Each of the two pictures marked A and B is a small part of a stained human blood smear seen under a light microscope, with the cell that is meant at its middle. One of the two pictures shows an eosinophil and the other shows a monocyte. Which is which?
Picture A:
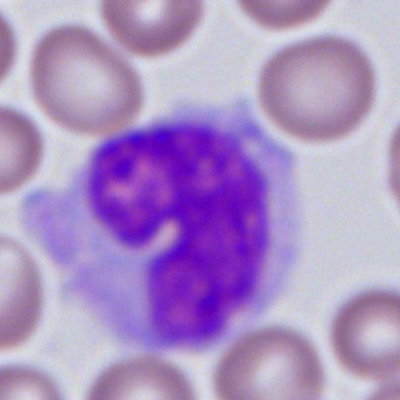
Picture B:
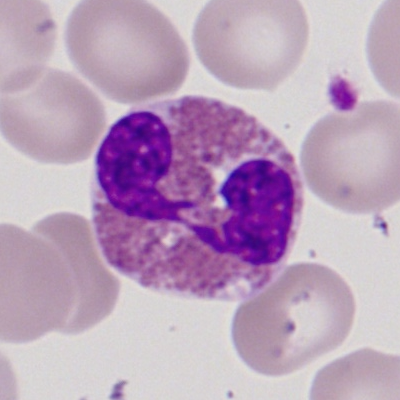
A: monocyte
B: eosinophil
